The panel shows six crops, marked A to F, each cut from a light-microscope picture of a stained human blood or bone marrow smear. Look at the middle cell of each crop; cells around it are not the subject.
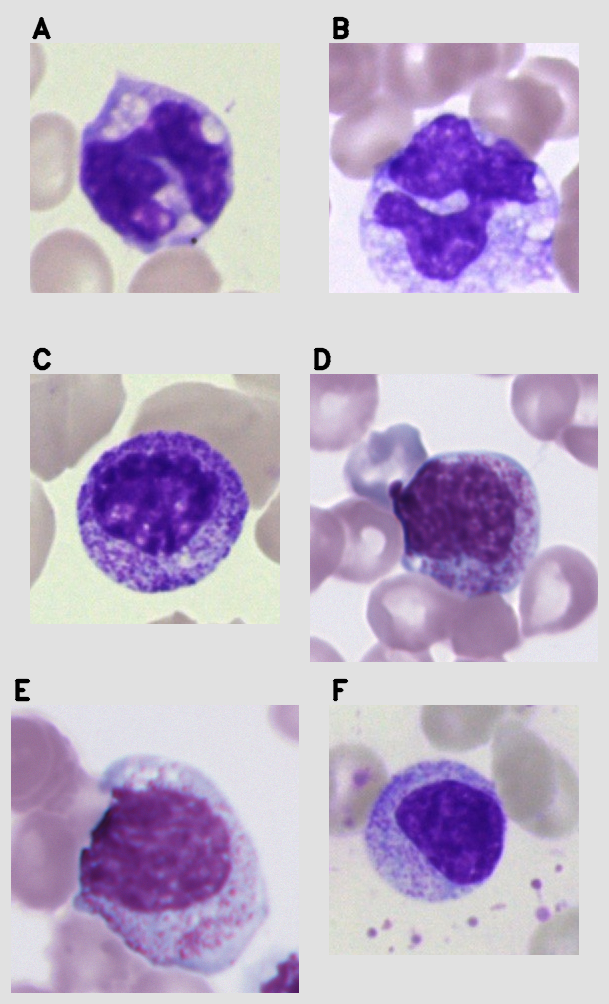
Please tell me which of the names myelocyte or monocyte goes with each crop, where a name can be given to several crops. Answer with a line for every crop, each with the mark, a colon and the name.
A: monocyte
B: monocyte
C: myelocyte
D: myelocyte
E: myelocyte
F: myelocyte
